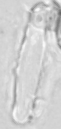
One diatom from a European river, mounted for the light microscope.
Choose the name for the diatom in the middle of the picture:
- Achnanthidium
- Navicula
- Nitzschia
Achnanthidium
